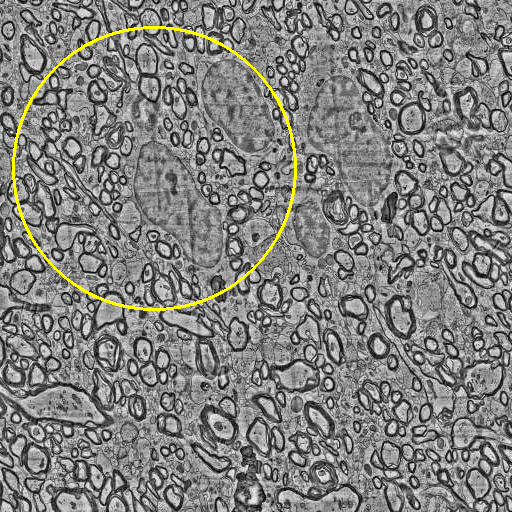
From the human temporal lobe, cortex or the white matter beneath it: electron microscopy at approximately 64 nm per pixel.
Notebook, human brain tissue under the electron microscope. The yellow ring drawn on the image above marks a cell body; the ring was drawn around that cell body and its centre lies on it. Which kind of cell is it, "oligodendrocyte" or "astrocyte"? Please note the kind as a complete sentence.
The marked cell body is that of an oligodendrocyte.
